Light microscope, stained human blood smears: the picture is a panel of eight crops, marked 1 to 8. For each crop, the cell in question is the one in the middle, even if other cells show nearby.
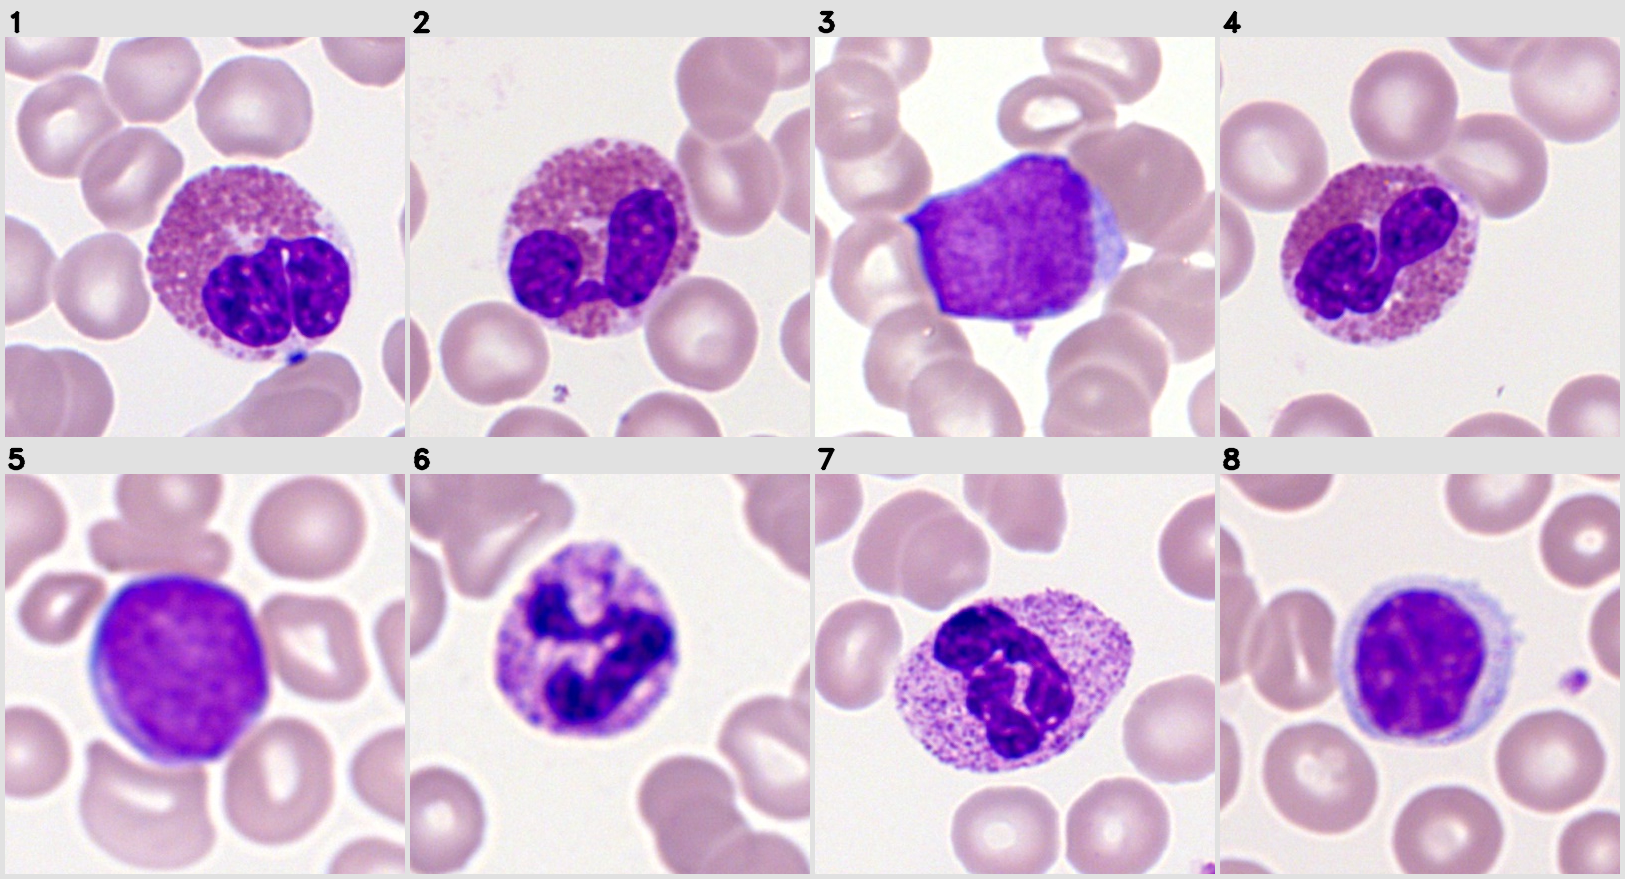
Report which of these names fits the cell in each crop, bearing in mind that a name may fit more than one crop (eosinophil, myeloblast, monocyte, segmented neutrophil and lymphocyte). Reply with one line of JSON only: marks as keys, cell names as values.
{"1": "eosinophil", "2": "eosinophil", "3": "myeloblast", "4": "eosinophil", "5": "myeloblast", "6": "segmented neutrophil", "7": "segmented neutrophil", "8": "lymphocyte"}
